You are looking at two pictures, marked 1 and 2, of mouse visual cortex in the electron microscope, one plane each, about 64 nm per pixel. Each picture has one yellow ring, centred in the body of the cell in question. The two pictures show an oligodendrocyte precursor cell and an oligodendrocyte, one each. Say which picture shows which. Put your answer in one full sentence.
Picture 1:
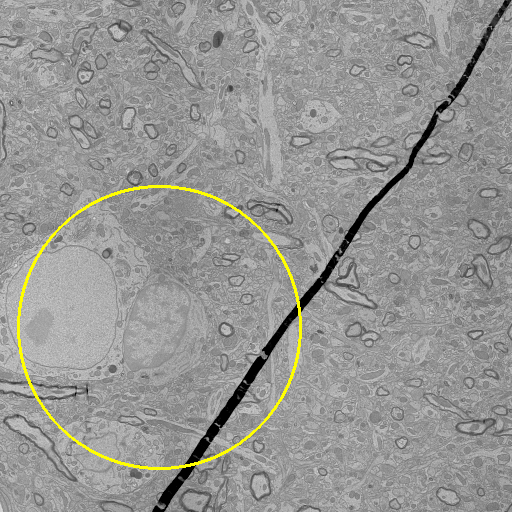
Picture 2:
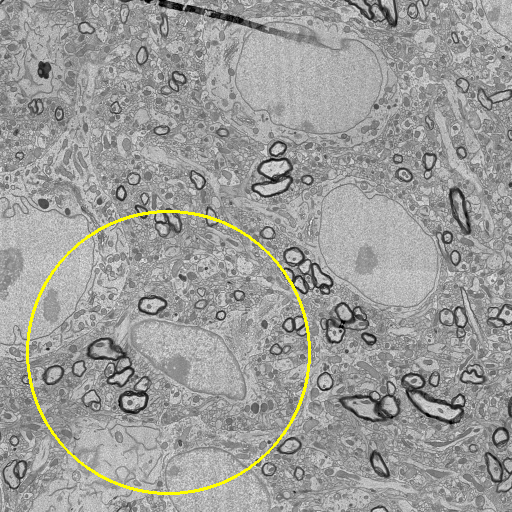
The cell in picture 1 is an oligodendrocyte, and the one in picture 2 is an oligodendrocyte precursor cell.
